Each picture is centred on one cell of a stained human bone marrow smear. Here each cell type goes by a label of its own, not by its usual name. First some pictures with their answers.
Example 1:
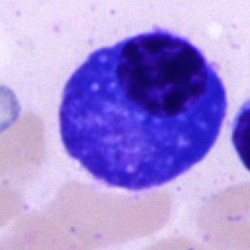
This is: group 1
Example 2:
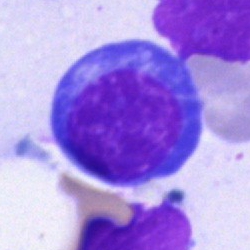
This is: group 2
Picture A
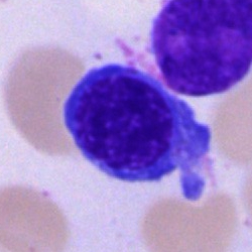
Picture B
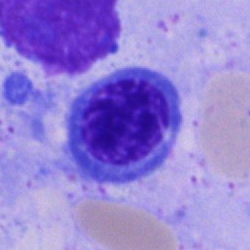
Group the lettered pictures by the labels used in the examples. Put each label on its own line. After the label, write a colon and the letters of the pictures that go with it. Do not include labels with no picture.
group 2: A, B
